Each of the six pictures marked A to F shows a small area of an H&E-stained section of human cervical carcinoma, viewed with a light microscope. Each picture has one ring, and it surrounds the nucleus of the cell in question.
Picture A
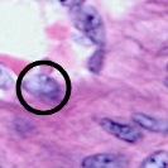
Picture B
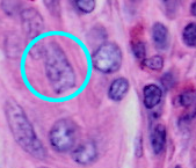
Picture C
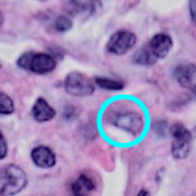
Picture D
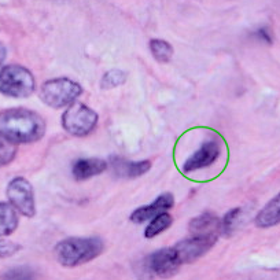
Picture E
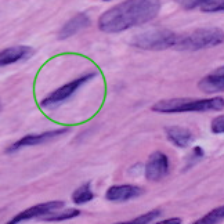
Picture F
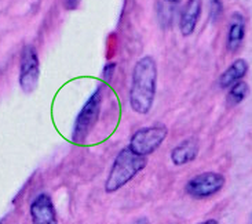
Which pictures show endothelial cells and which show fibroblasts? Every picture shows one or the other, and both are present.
A: endothelial cell
B: endothelial cell
C: endothelial cell
D: fibroblast
E: fibroblast
F: endothelial cell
